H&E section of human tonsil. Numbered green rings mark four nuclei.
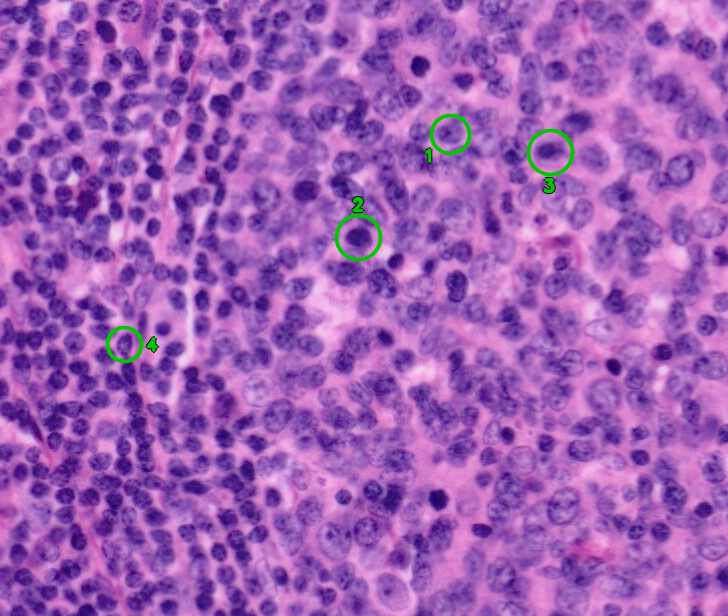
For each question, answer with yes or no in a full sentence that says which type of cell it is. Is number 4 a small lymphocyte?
Yes, number 4 corresponds to a small lymphocyte.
